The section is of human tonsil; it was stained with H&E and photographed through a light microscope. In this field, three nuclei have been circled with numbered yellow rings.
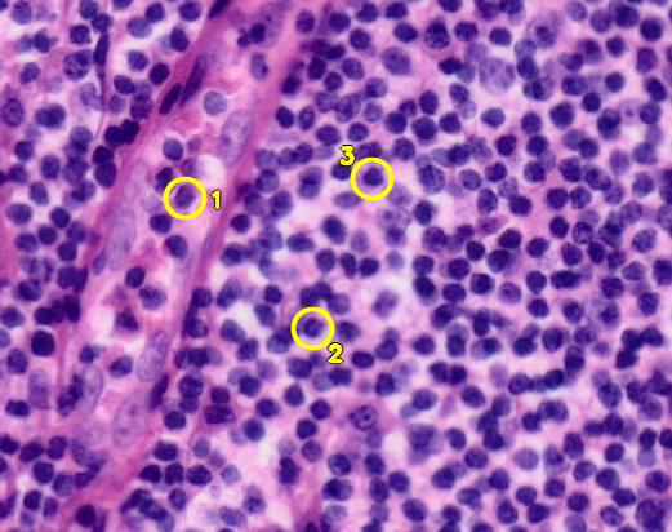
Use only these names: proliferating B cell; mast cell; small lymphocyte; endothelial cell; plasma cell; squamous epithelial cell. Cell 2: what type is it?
small lymphocyte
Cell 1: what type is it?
endothelial cell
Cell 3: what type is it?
small lymphocyte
